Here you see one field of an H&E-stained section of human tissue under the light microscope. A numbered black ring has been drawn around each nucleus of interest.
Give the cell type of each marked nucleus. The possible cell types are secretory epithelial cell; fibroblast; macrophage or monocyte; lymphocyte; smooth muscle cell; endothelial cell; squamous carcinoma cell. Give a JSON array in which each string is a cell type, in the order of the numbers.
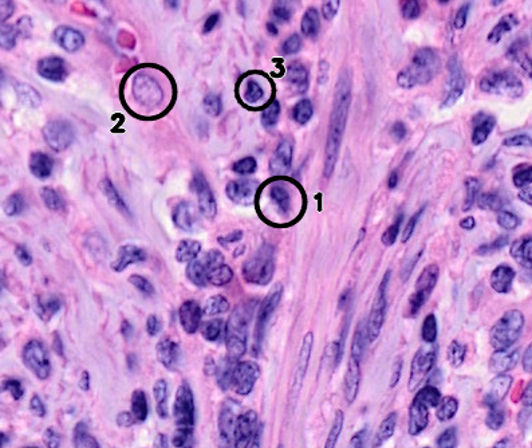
["lymphocyte", "endothelial cell", "lymphocyte"]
